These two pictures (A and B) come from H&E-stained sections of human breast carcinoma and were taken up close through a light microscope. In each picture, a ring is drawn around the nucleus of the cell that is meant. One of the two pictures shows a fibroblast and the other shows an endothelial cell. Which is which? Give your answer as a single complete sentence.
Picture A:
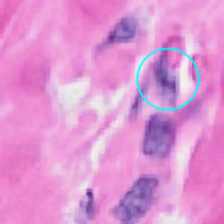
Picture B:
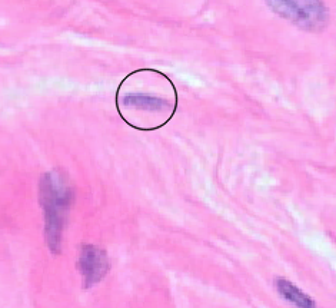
The cell in picture A is an endothelial cell, and the one in picture B is a fibroblast.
